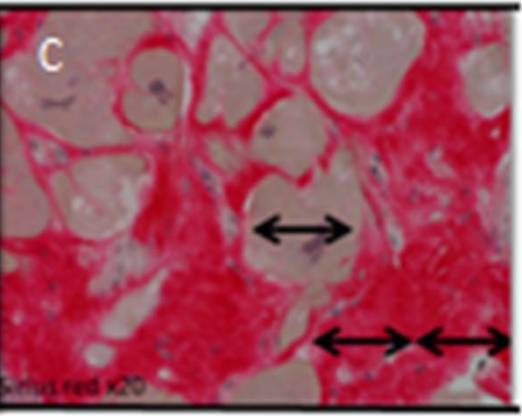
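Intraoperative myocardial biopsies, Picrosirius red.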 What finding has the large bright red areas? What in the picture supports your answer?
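Broad bright red areas occupy much of the field. Pale muscle fibres are isolated and surrounded by the red material. The red areas are wider than the adjacent muscle fibres. That points to this answer: scar.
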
